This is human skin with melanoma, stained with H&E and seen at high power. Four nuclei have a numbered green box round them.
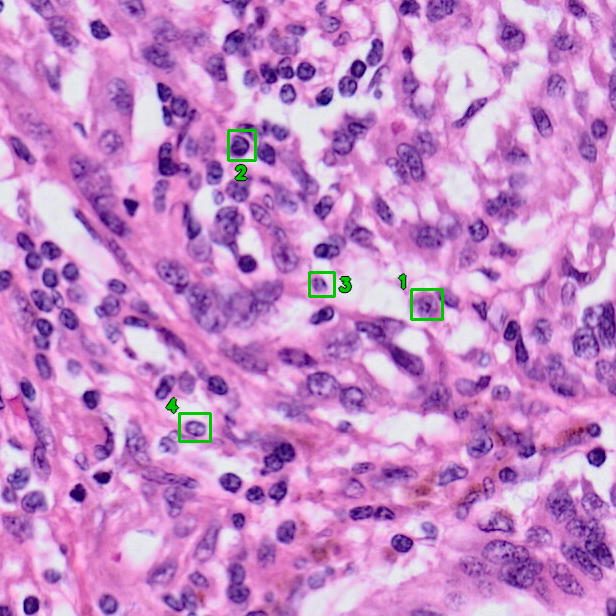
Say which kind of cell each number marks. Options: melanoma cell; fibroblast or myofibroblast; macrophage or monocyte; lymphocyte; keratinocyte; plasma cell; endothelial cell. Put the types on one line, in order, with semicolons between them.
melanoma cell; lymphocyte; lymphocyte; lymphocyte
